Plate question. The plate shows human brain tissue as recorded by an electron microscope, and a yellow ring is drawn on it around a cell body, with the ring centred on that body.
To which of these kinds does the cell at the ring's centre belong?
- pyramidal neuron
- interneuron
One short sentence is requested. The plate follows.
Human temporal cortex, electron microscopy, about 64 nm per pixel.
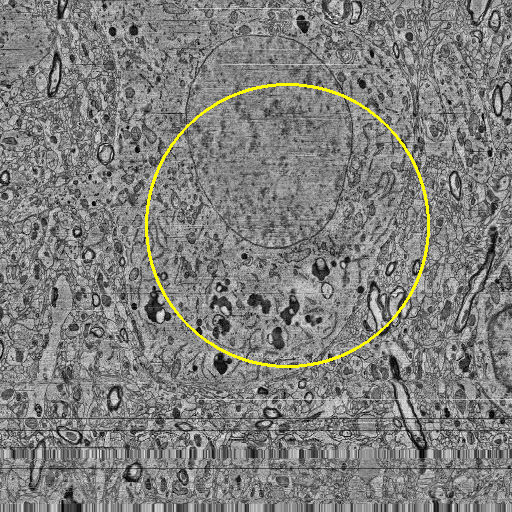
The cell at the ring's centre is a pyramidal neuron.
